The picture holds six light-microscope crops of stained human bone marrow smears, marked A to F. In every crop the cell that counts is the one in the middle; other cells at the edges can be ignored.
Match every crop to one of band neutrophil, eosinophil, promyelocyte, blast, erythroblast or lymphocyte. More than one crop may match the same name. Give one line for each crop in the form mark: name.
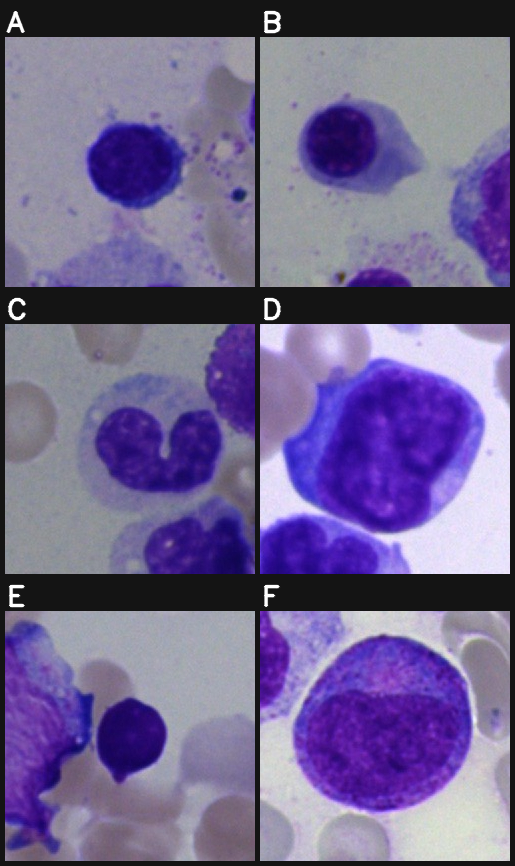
A: lymphocyte
B: erythroblast
C: band neutrophil
D: blast
E: lymphocyte
F: promyelocyte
